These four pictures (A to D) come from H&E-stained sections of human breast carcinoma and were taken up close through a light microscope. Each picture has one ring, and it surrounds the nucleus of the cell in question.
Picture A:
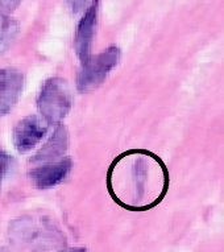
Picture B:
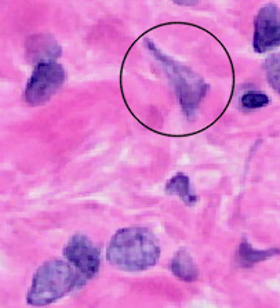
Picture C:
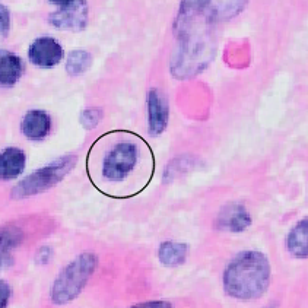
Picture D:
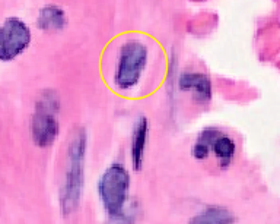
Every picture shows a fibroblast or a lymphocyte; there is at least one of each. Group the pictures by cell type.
A: fibroblast
B: fibroblast
C: lymphocyte
D: lymphocyte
